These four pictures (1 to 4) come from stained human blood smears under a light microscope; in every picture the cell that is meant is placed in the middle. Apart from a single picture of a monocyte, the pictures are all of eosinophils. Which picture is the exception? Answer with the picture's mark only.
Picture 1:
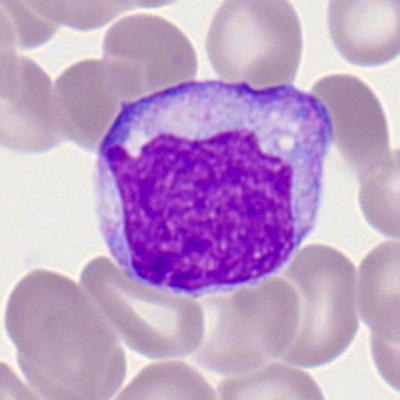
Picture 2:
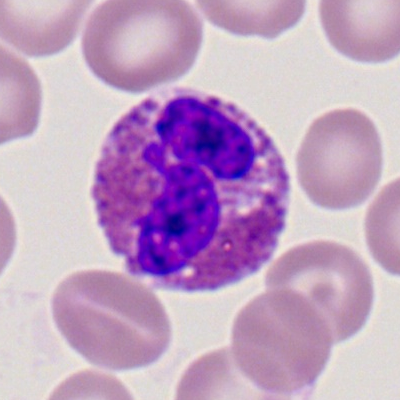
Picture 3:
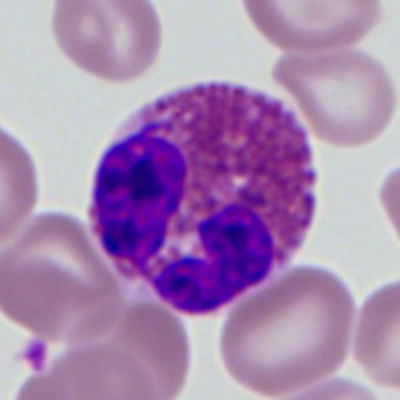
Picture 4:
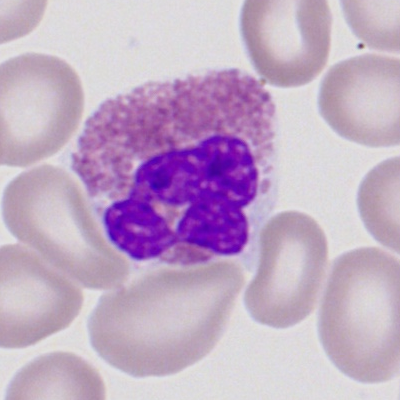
1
